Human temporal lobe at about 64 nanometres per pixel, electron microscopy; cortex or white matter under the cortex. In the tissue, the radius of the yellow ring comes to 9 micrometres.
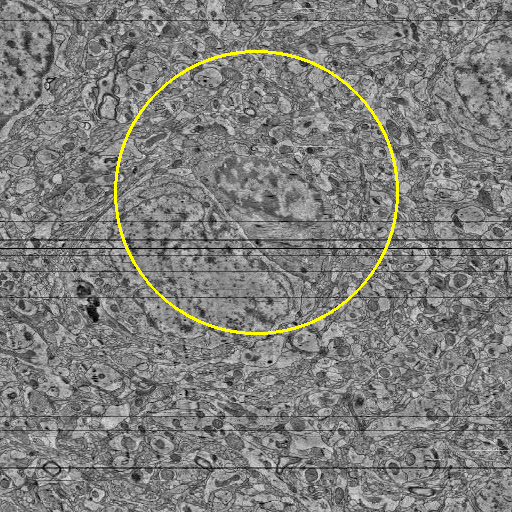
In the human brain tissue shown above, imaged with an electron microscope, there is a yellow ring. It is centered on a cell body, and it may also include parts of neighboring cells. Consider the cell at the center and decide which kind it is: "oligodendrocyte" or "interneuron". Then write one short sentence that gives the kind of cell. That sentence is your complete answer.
This centered cell body is that of an oligodendrocyte.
